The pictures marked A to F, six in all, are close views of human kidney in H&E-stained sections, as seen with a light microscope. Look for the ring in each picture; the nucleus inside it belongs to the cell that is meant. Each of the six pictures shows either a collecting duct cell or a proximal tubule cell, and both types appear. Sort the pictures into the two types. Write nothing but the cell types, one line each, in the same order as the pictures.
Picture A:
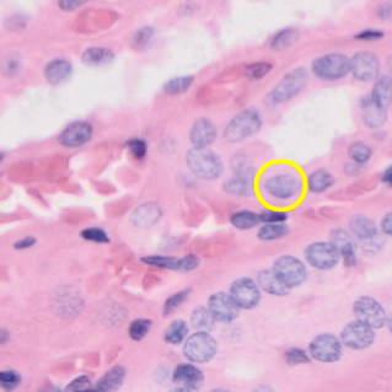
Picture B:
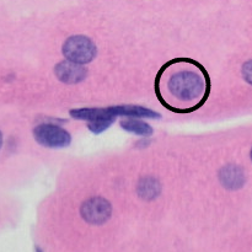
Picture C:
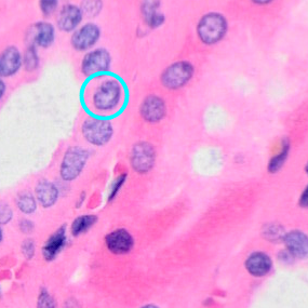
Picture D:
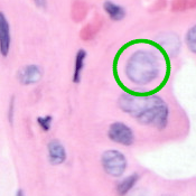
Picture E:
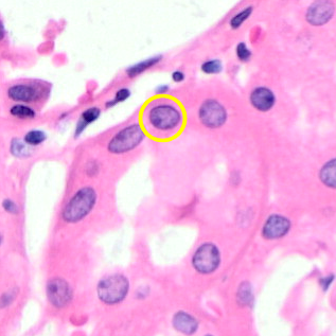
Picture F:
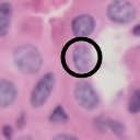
collecting duct cell
proximal tubule cell
collecting duct cell
collecting duct cell
proximal tubule cell
collecting duct cell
